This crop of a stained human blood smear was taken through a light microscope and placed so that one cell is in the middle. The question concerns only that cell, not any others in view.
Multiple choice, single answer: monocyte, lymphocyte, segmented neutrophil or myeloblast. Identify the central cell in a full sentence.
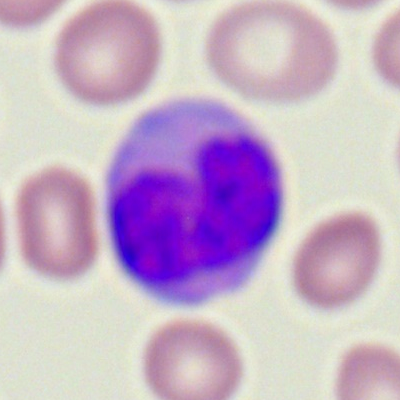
This particular crop is centered on a monocyte.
